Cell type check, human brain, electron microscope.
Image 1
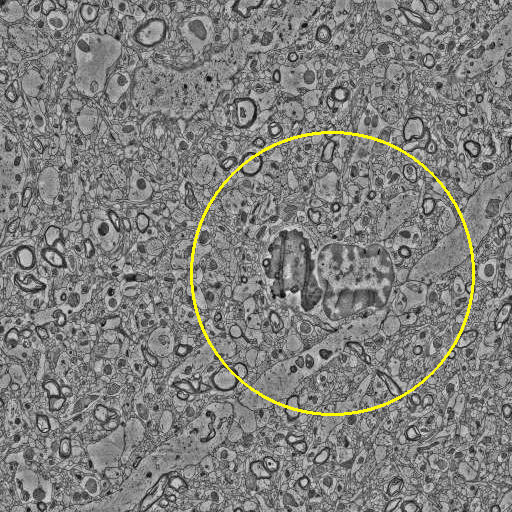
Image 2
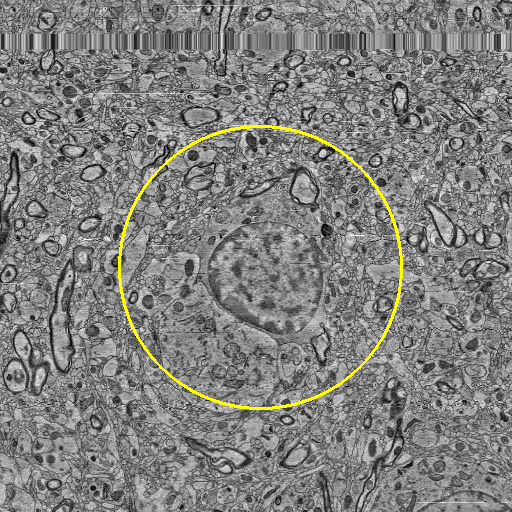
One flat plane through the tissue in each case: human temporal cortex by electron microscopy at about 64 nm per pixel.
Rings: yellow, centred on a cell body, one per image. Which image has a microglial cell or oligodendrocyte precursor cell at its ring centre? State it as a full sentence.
The ring in Image 1 is centred on it.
